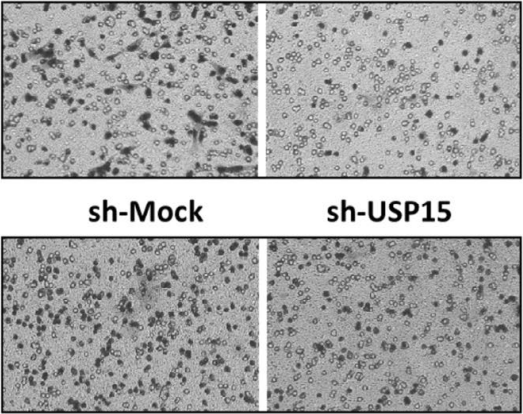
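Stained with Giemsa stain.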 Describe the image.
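The membrane itself shows a regular scatter of small round unstained pores, and the stained cells sit among them, some rounded, others flattened and drawn out into elongated shapes. The density of stained cells differs between the images, with some fields crowded with dark cells and others showing mostly empty pores.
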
